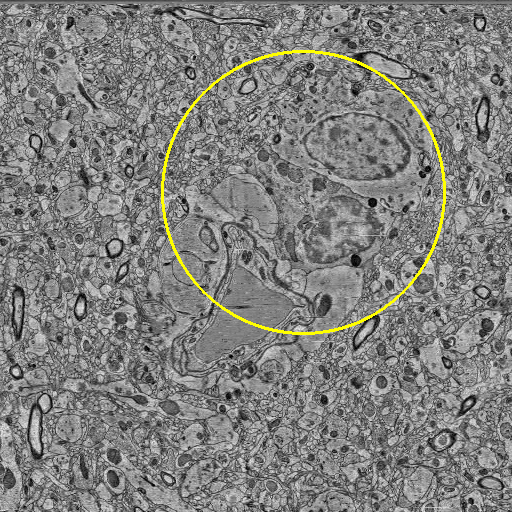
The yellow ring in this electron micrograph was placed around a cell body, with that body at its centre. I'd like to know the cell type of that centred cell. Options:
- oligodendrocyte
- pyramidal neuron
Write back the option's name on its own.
oligodendrocyte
